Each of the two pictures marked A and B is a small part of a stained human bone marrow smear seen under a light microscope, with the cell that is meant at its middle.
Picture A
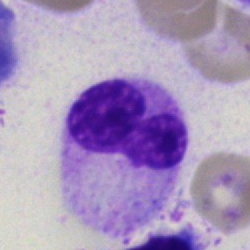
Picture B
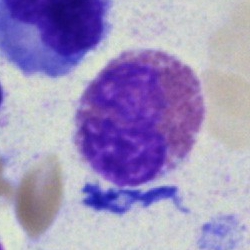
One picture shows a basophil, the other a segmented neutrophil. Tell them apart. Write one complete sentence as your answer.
Picture A is of a segmented neutrophil, and picture B is of a basophil.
